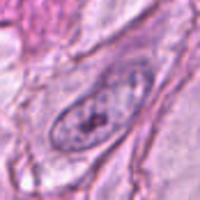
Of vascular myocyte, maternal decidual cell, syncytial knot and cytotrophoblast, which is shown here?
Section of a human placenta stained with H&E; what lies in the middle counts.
maternal decidual cell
